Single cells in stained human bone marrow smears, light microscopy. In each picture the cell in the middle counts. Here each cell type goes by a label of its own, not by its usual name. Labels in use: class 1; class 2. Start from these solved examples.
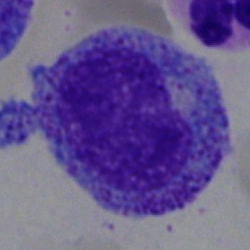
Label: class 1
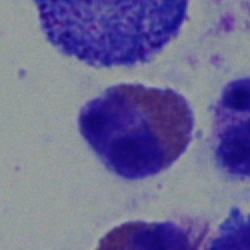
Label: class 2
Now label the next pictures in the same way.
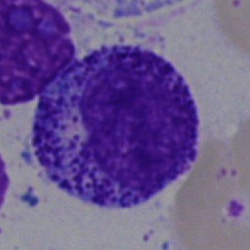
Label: class 1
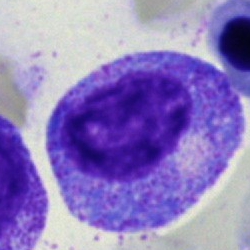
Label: class 1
